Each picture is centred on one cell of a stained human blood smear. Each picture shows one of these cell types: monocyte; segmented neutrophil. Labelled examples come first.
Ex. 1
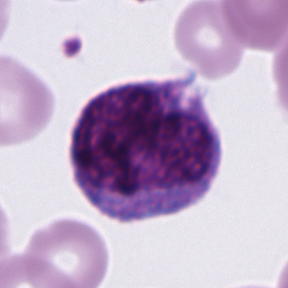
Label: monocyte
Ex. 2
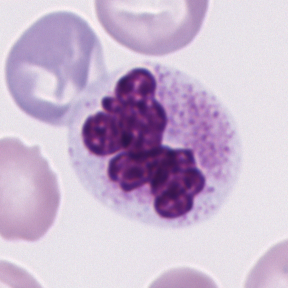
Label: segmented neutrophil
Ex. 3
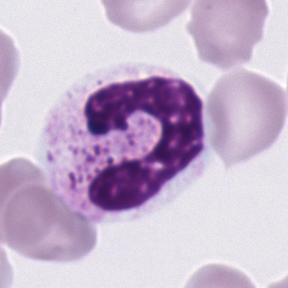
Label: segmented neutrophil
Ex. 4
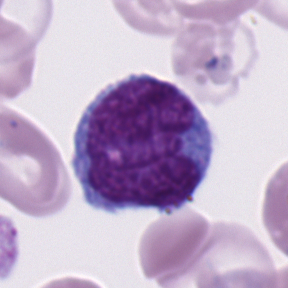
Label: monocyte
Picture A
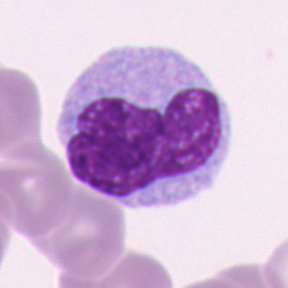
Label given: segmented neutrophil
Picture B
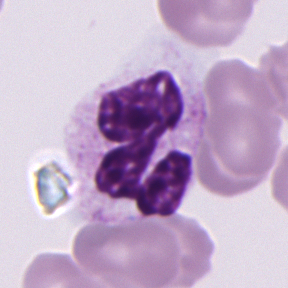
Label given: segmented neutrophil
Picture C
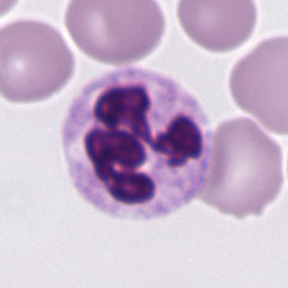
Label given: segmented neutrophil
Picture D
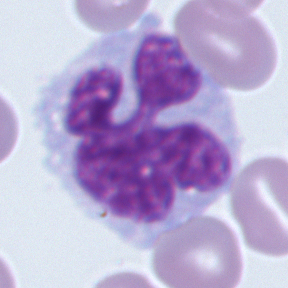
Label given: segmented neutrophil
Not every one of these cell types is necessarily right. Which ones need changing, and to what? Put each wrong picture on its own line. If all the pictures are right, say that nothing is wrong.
Wrong: A (segmented neutrophil); correct: monocyte
Wrong: D (segmented neutrophil); correct: monocyte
